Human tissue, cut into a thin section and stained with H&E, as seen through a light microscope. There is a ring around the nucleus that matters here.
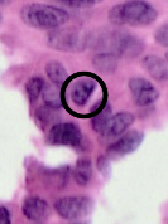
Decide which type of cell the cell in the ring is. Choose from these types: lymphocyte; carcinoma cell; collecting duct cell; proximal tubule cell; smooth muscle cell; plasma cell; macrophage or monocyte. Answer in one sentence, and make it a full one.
In short, the cell in the ring on this section is a macrophage or monocyte.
